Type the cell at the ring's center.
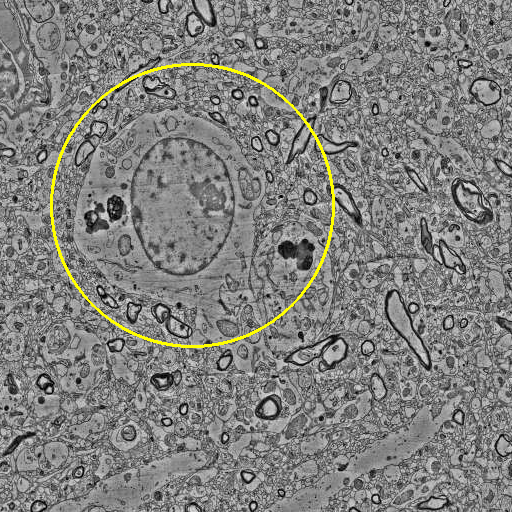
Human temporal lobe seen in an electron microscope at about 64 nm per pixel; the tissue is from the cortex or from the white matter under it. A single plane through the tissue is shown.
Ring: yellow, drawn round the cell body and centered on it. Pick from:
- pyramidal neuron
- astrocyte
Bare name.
astrocyte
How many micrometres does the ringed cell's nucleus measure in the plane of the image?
In this plane the nucleus measures roughly 9 by 7 micrometres.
